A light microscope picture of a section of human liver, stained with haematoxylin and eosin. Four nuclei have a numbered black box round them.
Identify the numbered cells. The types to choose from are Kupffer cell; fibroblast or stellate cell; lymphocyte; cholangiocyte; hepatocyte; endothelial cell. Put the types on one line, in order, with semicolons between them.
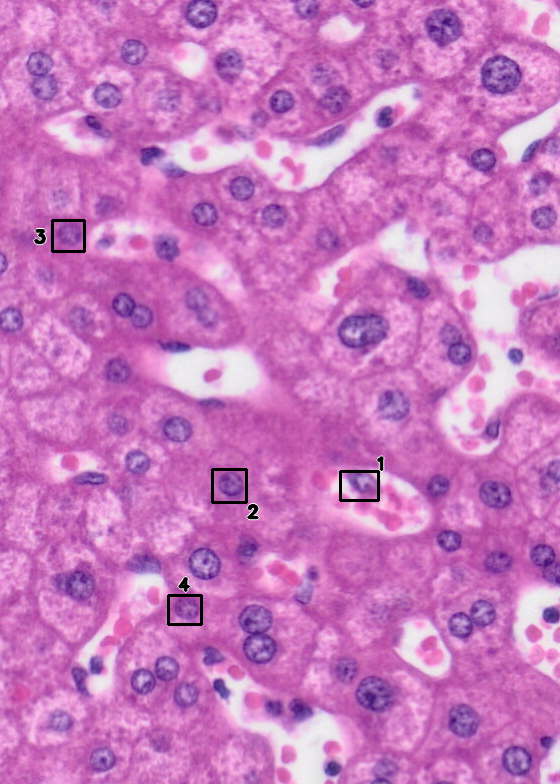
Kupffer cell; hepatocyte; hepatocyte; hepatocyte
